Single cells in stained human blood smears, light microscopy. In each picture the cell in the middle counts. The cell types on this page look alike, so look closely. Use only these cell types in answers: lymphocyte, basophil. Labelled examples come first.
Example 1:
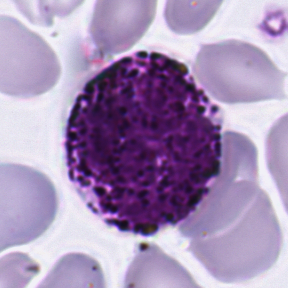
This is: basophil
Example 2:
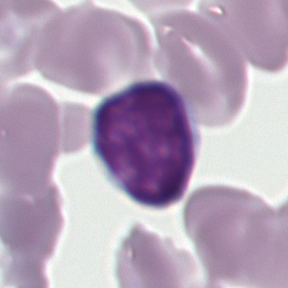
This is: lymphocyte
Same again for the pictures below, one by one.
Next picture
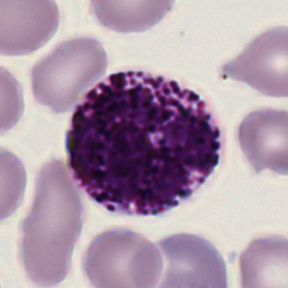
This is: basophil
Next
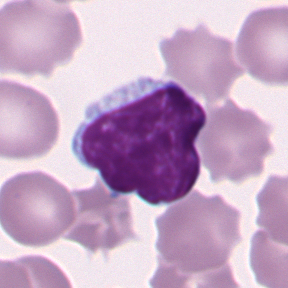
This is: lymphocyte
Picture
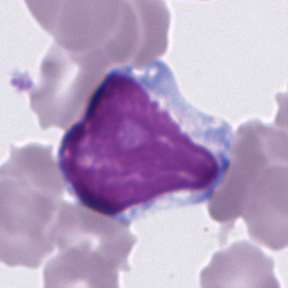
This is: lymphocyte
